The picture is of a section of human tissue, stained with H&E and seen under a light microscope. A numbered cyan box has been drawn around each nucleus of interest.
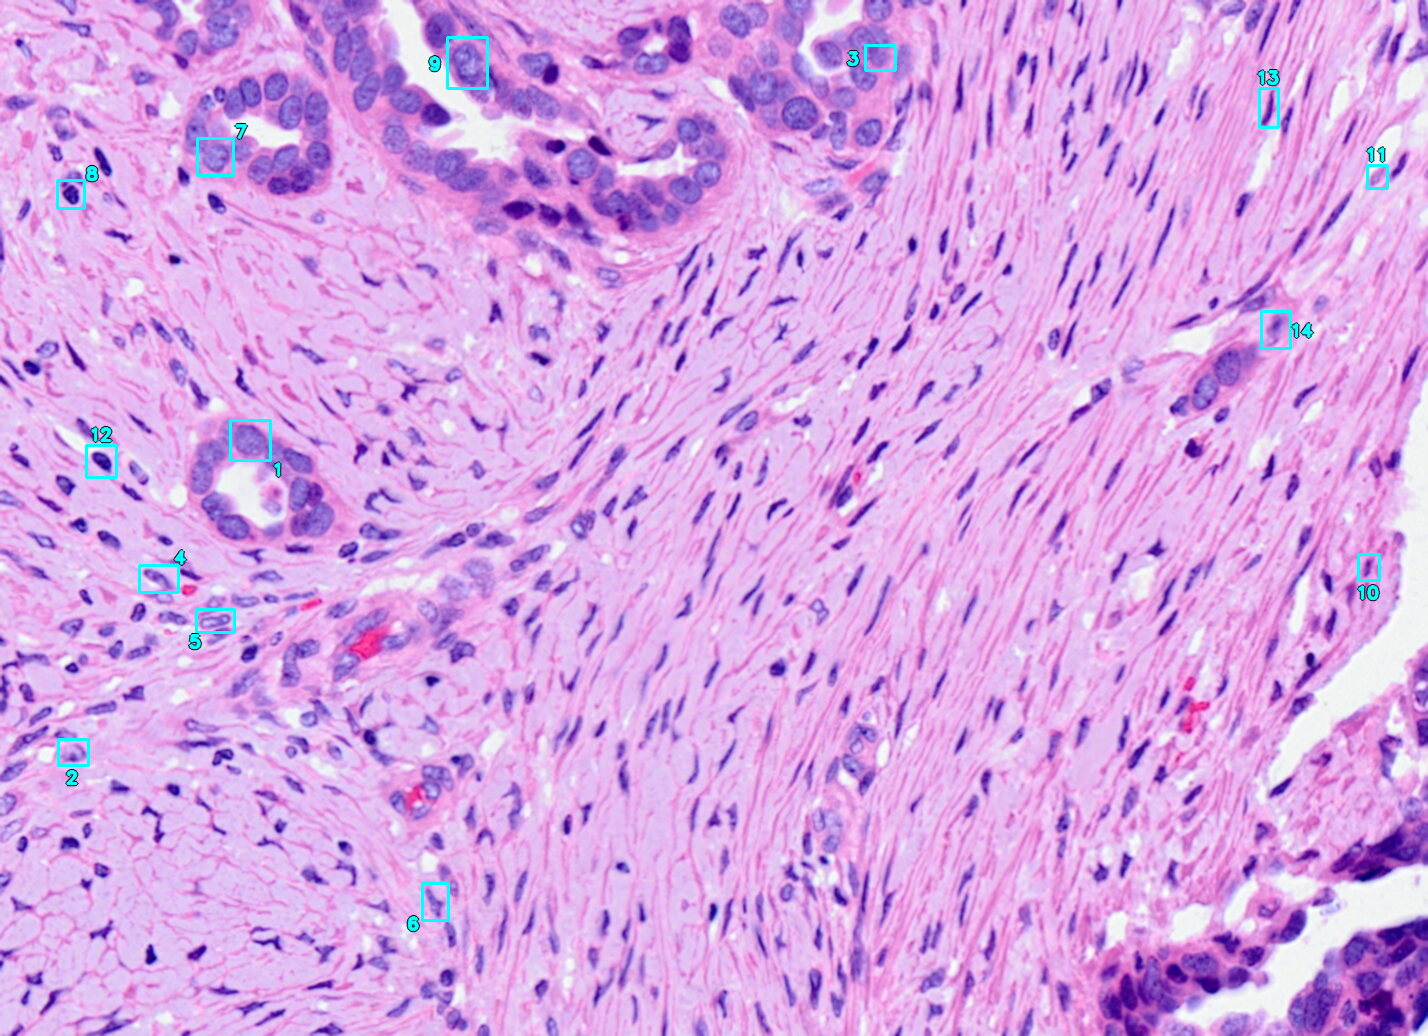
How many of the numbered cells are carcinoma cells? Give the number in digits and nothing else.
4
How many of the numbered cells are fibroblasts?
8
